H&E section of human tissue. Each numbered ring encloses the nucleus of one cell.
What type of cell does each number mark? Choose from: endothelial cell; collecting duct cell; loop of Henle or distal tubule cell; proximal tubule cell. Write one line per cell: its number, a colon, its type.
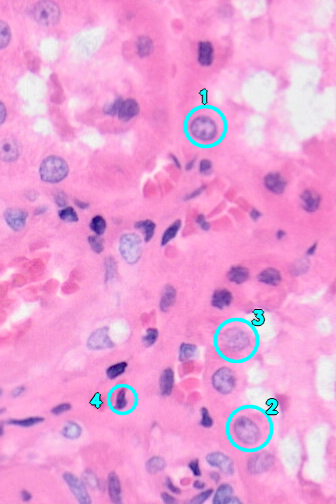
1: proximal tubule cell
2: proximal tubule cell
3: proximal tubule cell
4: endothelial cell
